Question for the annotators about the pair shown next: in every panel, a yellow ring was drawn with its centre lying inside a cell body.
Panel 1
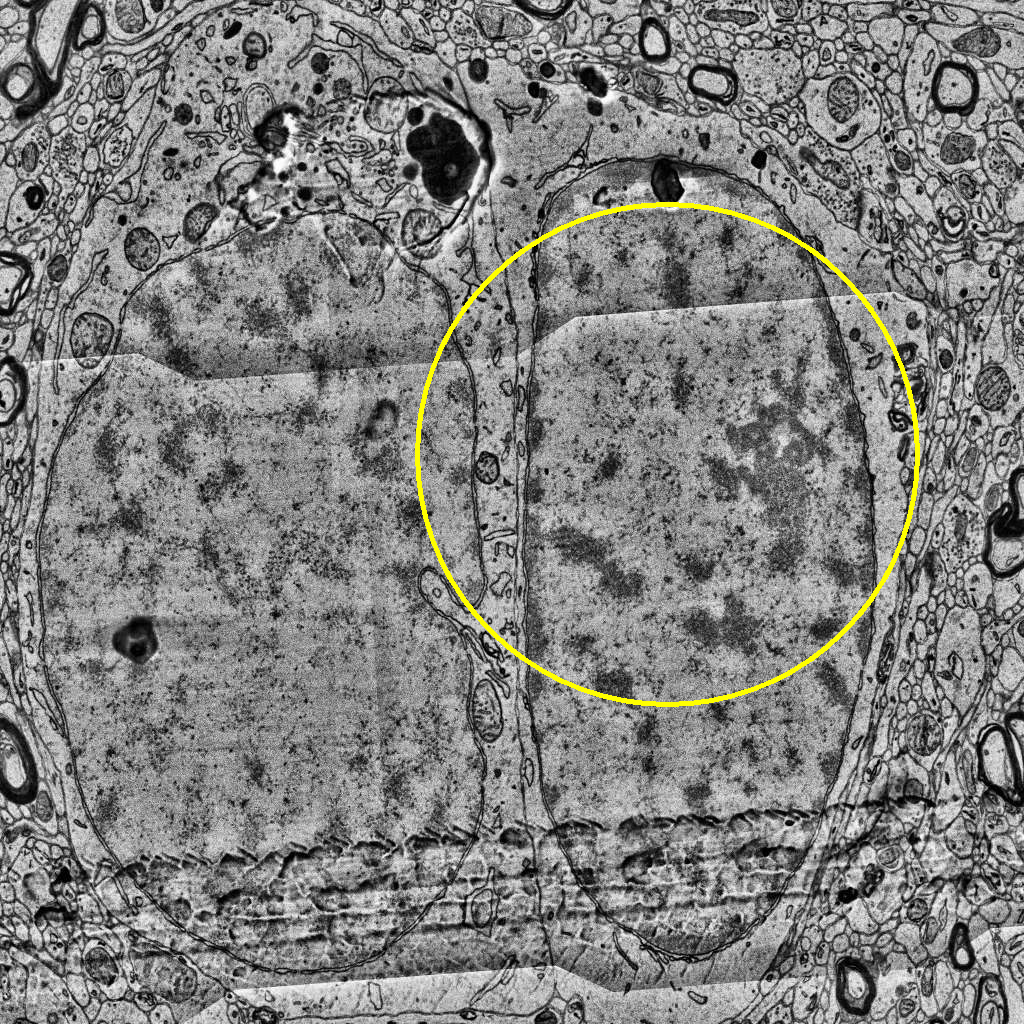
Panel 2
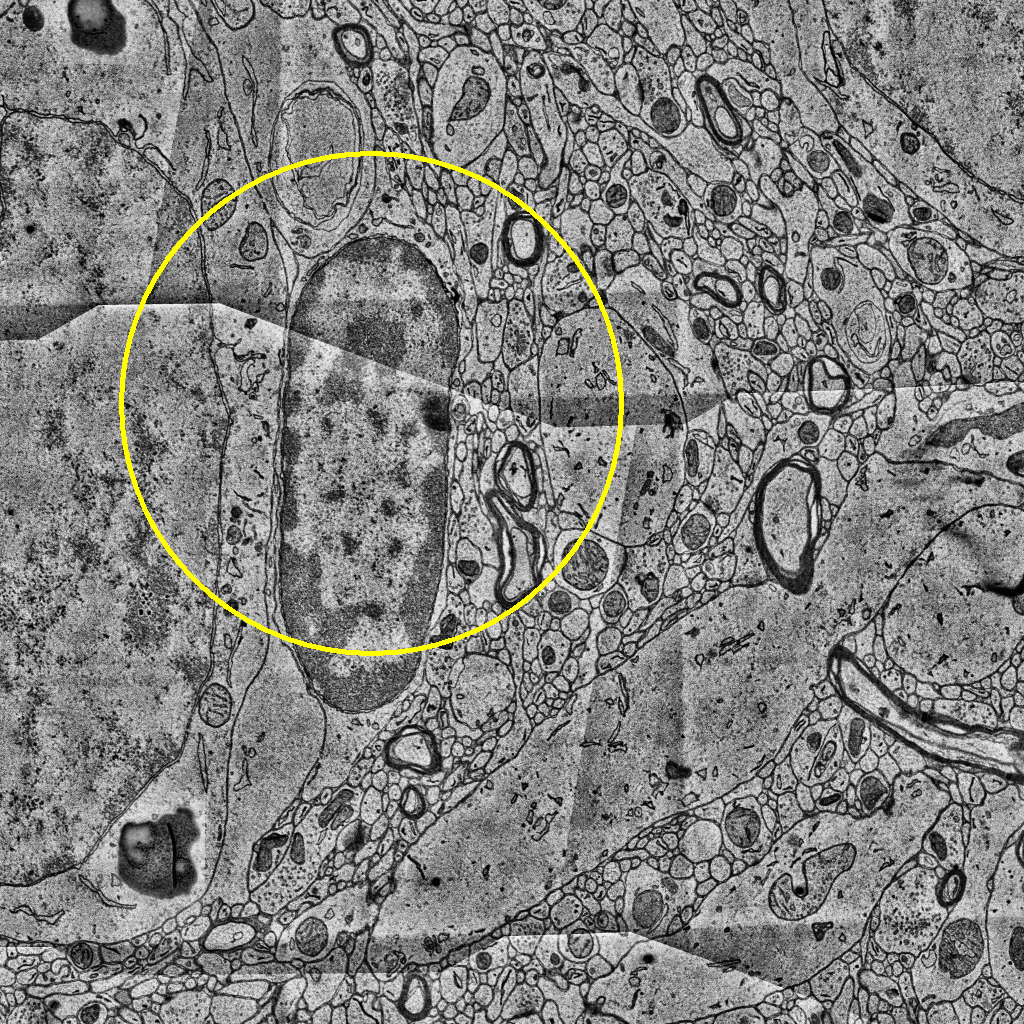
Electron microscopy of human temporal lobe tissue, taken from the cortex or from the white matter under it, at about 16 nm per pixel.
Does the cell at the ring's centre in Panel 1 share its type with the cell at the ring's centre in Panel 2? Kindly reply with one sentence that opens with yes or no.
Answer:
Yes, in Panels 1 and 2 the cells at the ring centres belong to a single type.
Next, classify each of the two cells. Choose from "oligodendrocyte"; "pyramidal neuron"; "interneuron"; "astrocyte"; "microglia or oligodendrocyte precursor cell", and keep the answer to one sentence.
Each of the two cells is a microglial cell or oligodendrocyte precursor cell.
